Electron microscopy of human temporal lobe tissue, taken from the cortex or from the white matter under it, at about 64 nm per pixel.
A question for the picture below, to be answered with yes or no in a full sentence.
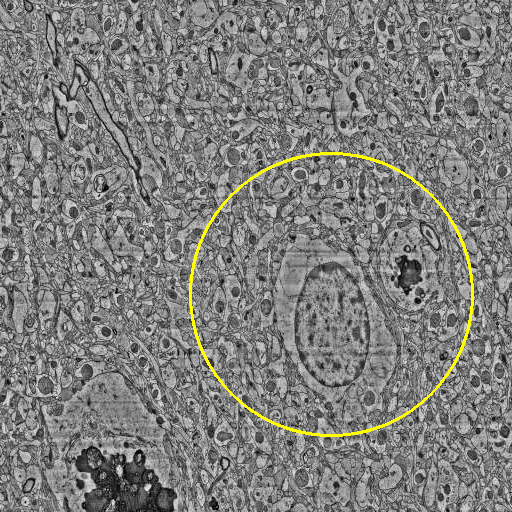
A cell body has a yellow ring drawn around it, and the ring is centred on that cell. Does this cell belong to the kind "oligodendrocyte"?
No, the pictured cell at the ring's centre belongs to another kind.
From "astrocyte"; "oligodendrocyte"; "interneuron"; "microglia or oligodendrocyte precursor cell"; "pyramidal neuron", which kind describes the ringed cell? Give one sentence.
The answer is that the ringed cell is an astrocyte.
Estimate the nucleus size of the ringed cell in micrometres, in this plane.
Roughly 8 micrometres long and 5 micrometres wide; in this plane the nucleus is clearly longer than it is wide.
